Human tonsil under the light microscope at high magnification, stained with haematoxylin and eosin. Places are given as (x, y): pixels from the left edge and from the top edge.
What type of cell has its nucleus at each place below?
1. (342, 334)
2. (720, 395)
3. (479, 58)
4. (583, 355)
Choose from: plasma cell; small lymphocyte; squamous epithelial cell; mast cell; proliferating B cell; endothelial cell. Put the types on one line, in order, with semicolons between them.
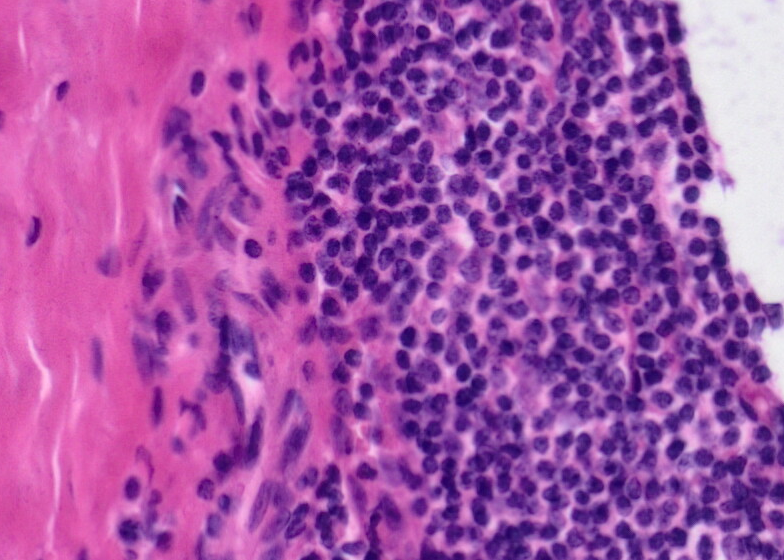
endothelial cell; small lymphocyte; small lymphocyte; small lymphocyte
